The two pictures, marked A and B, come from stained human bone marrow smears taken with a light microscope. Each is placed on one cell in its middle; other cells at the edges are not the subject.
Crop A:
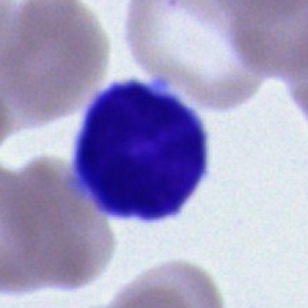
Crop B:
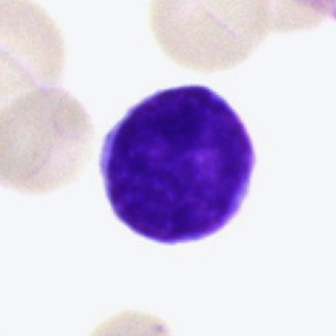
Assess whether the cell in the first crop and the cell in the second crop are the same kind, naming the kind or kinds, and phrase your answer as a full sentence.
Yes, lymphocytes are centred in both crops.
